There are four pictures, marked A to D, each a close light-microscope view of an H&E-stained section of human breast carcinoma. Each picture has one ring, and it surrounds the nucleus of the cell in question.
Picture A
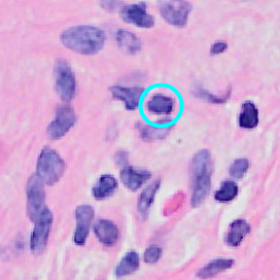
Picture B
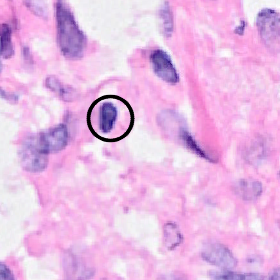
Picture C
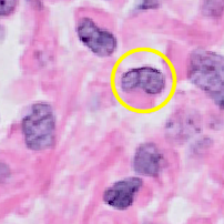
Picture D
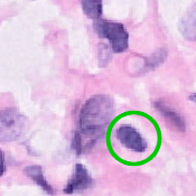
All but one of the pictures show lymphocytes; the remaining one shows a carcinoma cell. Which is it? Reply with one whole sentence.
The carcinoma cell is the one in picture C.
